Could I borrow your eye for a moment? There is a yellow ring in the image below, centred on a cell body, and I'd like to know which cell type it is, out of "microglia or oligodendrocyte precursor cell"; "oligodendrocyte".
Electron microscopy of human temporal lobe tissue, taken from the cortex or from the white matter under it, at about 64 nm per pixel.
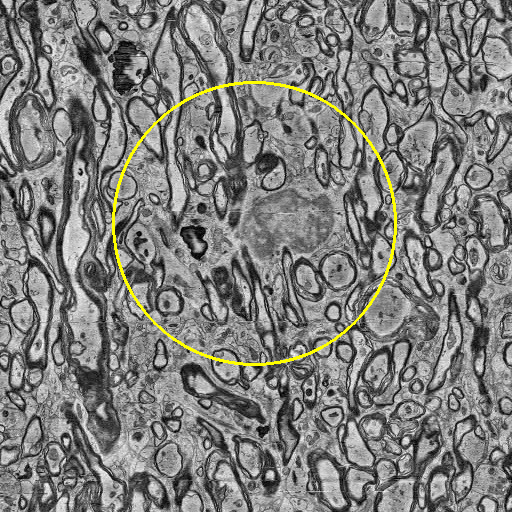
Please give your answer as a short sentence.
The cell body at the centre is that of an oligodendrocyte.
